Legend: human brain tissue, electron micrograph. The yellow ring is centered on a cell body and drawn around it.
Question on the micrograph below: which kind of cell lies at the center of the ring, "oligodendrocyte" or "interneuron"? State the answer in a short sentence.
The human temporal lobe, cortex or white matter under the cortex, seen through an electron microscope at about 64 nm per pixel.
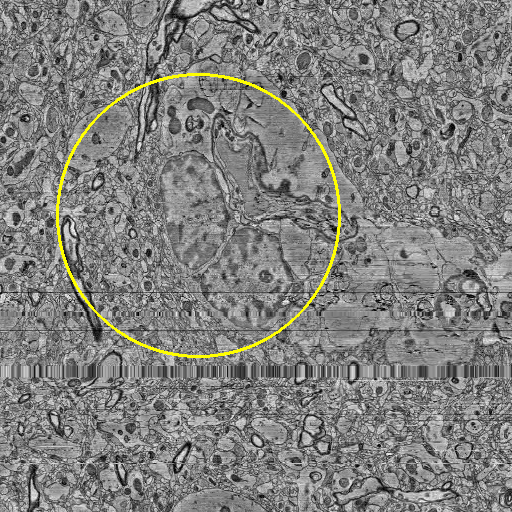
At the center of the ring lies an oligodendrocyte.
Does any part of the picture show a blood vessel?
Yes, there is one.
